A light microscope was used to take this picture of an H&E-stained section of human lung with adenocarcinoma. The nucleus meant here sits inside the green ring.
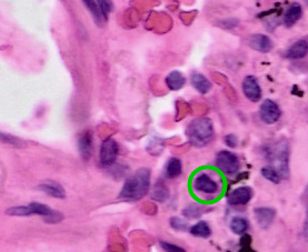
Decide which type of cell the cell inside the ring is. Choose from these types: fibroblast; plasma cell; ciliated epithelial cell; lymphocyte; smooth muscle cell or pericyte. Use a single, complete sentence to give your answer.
The correct response here is that the cell inside the ring is a plasma cell.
